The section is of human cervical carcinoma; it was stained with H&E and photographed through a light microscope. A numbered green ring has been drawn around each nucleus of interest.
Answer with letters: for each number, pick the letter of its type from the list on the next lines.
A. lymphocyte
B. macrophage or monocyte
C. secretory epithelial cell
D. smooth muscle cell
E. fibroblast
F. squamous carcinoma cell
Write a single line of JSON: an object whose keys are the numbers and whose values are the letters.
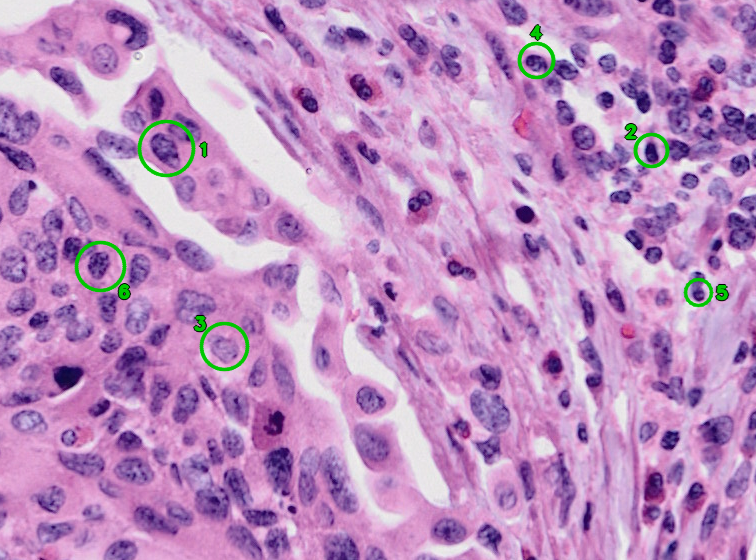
{"1": "F", "2": "A", "3": "F", "4": "A", "5": "A", "6": "F"}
